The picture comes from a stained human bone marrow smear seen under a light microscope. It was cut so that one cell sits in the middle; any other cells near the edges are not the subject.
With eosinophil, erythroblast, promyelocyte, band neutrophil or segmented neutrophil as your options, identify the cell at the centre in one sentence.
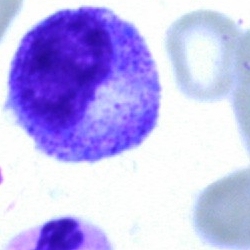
Occupying the centre of the crop is a promyelocyte.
